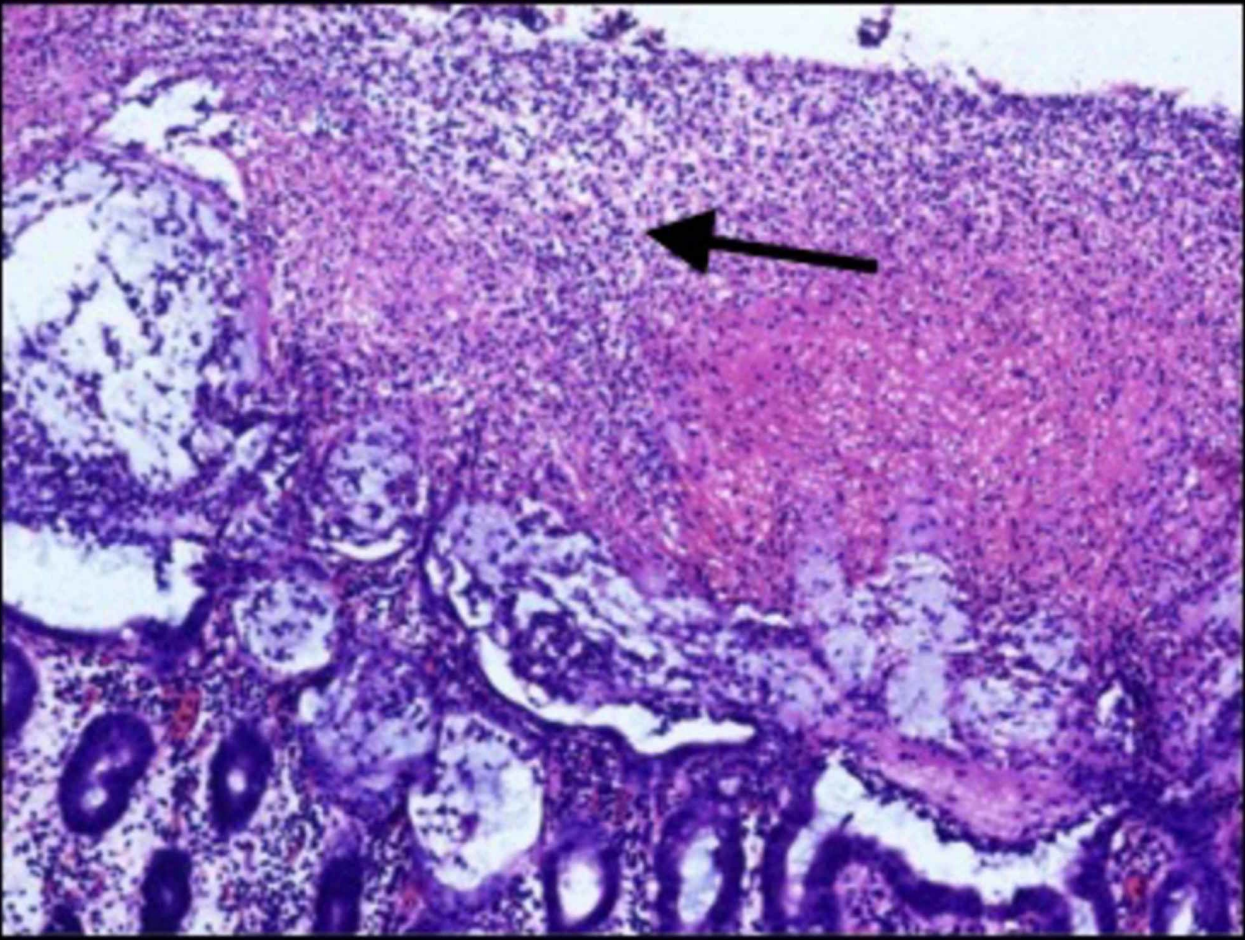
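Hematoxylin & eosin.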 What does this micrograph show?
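This section shows an ulcerated glandular mucosa whose surface is replaced by a thick cap of inflammatory exudate. The upper half is a broad band of densely packed small cells with dark nuclei, lying in sheets on a pink, fibrin-rich background, and no lining epithelium covers it. Beneath this layer lie pale, mucin-filled spaces and distorted, partly broken glands. At the bottom, better preserved tubular glands with purple-staining epithelium sit in a lamina propria that holds scattered inflammatory cells and small congested vessels. The boundary between the inflamed surface layer and the deeper glandular mucosa is irregular.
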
